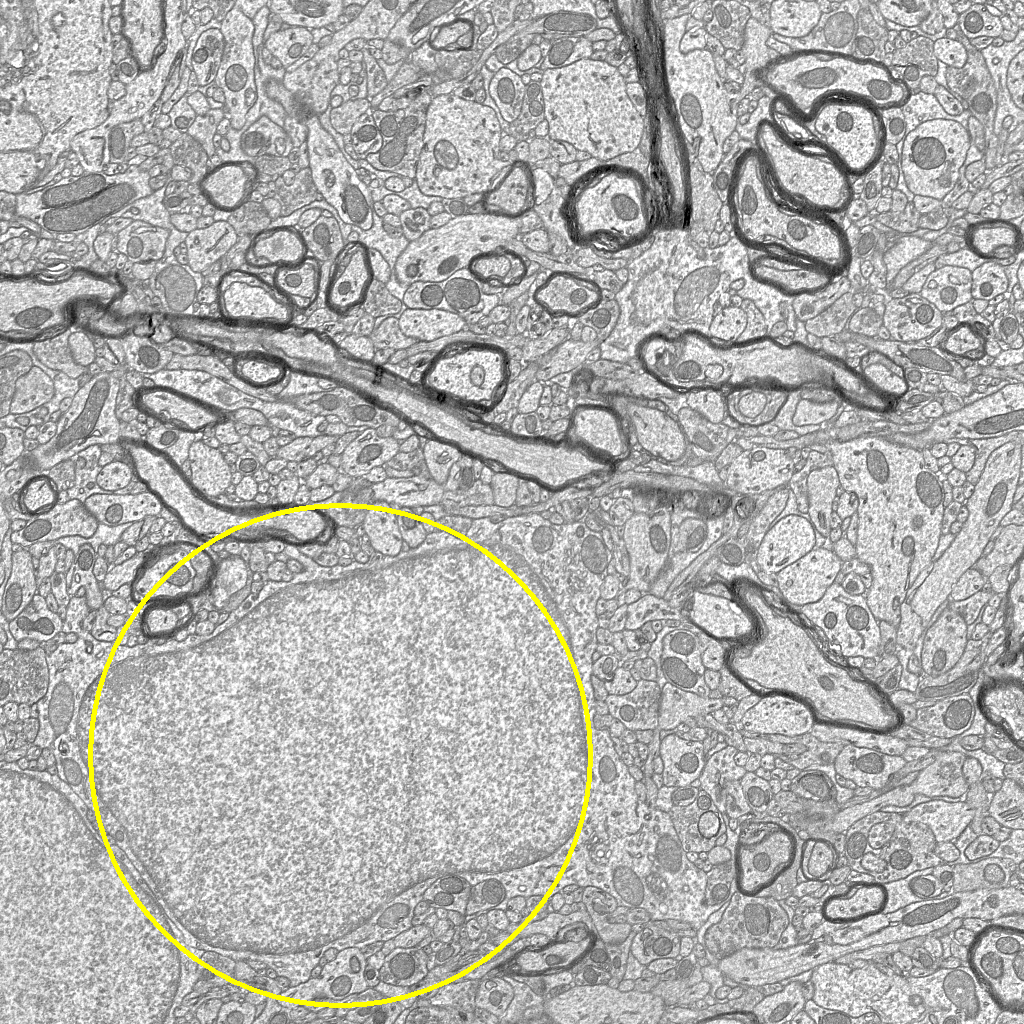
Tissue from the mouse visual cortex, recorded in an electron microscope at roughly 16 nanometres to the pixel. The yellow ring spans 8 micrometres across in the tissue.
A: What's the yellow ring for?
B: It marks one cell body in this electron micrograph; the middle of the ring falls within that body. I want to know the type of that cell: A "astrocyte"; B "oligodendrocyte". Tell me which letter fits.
A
